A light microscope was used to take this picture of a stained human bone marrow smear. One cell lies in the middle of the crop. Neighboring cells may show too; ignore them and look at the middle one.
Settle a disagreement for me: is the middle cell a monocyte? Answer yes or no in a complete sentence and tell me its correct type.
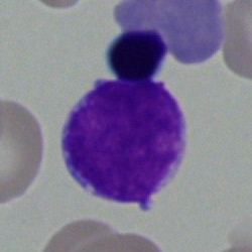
No, the central cell is counted as a blast instead of a monocyte.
